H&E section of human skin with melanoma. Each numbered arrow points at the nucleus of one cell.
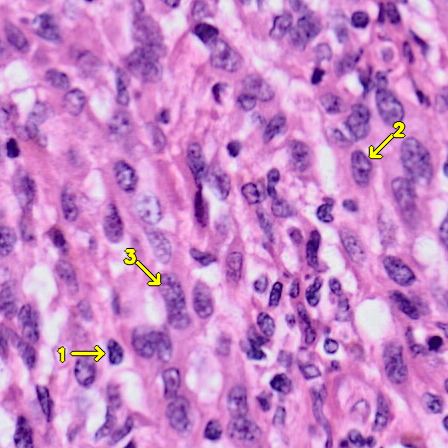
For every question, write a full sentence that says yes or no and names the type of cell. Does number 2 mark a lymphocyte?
No, a melanoma cell, not a lymphocyte, is the cell with number 2.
